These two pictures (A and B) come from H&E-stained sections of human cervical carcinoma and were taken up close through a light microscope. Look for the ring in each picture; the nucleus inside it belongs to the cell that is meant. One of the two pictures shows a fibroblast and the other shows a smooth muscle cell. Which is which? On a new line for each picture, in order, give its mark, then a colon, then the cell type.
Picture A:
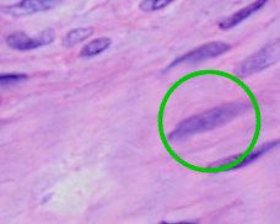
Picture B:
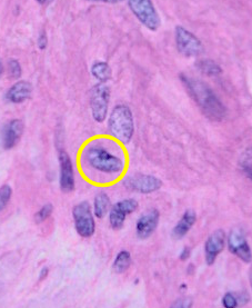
A: fibroblast
B: smooth muscle cell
